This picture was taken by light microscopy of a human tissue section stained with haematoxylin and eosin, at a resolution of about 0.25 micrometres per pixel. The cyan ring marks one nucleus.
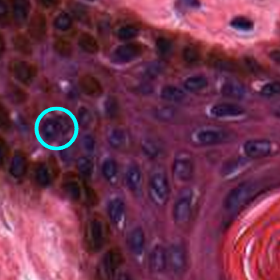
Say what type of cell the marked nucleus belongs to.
keratinocyte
